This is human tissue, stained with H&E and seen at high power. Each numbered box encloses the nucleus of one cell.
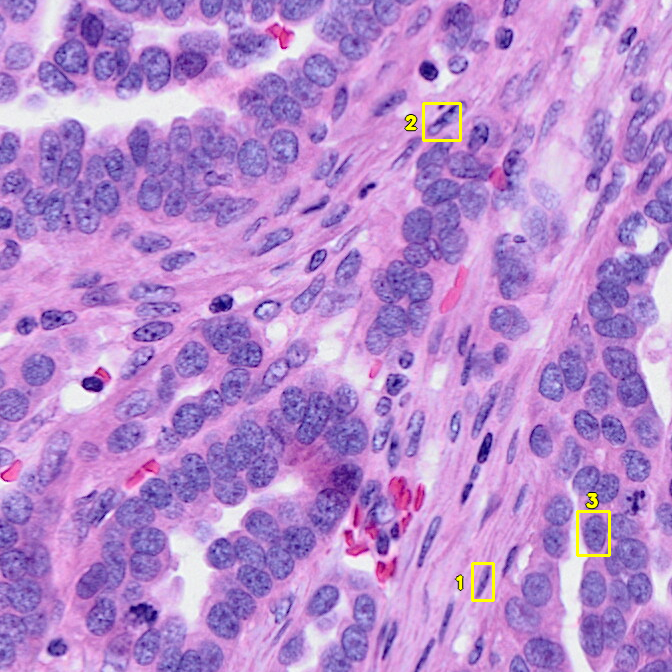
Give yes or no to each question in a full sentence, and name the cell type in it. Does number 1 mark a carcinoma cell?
No, cell 1 is not a carcinoma cell; a fibroblast is correct.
